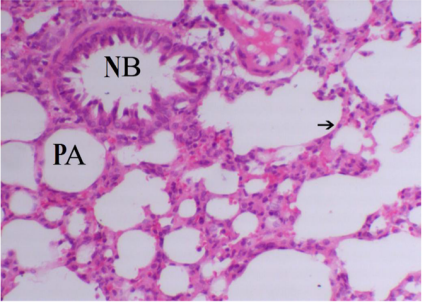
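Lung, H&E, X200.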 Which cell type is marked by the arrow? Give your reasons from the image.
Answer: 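Alveolar epithelial cells. The arrow points to flat cells lining a thin wall around an open air space. Thin septa separate many open spaces.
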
